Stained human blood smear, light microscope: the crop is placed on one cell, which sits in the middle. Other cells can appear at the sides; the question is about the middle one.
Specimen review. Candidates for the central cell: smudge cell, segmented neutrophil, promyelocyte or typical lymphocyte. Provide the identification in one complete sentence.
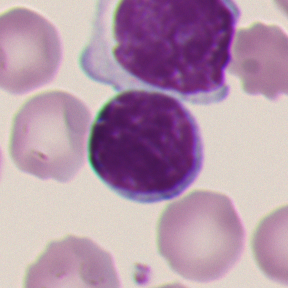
Looking at the middle of the crop, the cell there is a typical lymphocyte.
